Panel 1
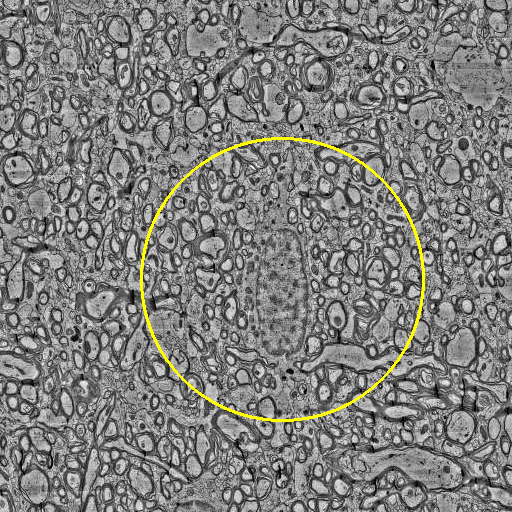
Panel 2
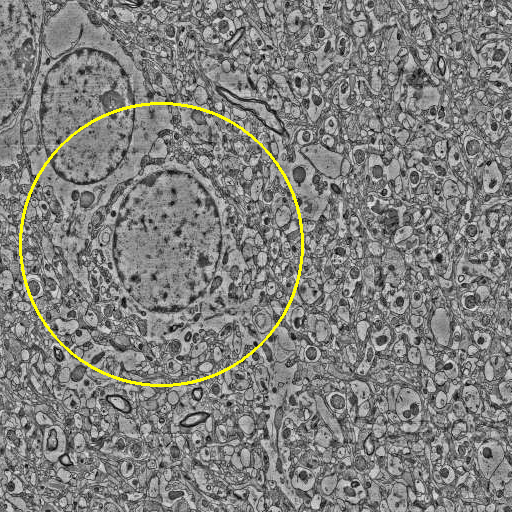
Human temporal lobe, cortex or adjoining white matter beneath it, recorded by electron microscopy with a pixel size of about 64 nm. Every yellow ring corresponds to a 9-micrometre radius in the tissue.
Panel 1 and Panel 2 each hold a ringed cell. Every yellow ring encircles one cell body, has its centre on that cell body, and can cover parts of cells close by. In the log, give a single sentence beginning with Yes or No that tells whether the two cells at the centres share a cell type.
No, in Panel 1 and Panel 2 the centred cells are of two cell types.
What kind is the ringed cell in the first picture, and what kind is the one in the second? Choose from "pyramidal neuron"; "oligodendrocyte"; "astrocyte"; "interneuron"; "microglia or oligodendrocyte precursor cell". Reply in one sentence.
The first cell is an oligodendrocyte; the second is an astrocyte.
